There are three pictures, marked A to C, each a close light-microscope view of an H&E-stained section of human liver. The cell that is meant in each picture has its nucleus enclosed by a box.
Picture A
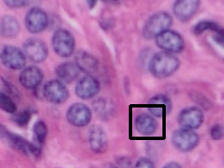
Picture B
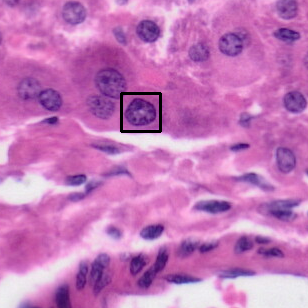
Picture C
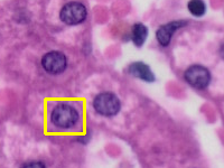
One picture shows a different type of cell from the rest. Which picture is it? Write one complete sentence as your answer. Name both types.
All pictures except A show hepatocytes; picture A shows a cholangiocyte.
